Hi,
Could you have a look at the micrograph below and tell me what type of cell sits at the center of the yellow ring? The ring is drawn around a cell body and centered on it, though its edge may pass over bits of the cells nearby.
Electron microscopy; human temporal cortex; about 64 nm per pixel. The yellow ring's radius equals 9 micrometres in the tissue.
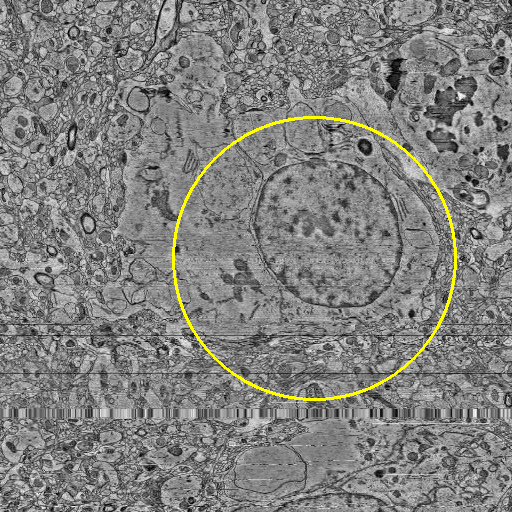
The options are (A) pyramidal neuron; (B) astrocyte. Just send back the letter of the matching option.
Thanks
B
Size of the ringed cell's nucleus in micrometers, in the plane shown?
The nucleus measures about 10 by 9 micrometres in this plane.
